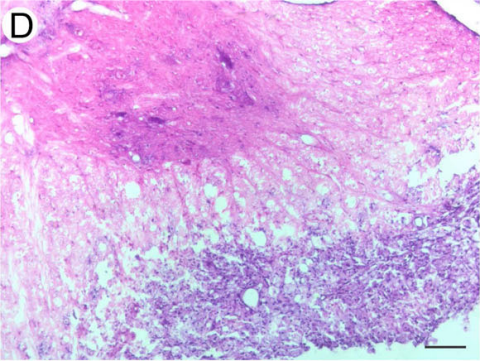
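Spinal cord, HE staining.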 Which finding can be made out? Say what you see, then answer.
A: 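Cellular infiltration. A dense band of many small purple nuclei crowds the lower part of the white matter. The upper pink tissue holds far fewer nuclei.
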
